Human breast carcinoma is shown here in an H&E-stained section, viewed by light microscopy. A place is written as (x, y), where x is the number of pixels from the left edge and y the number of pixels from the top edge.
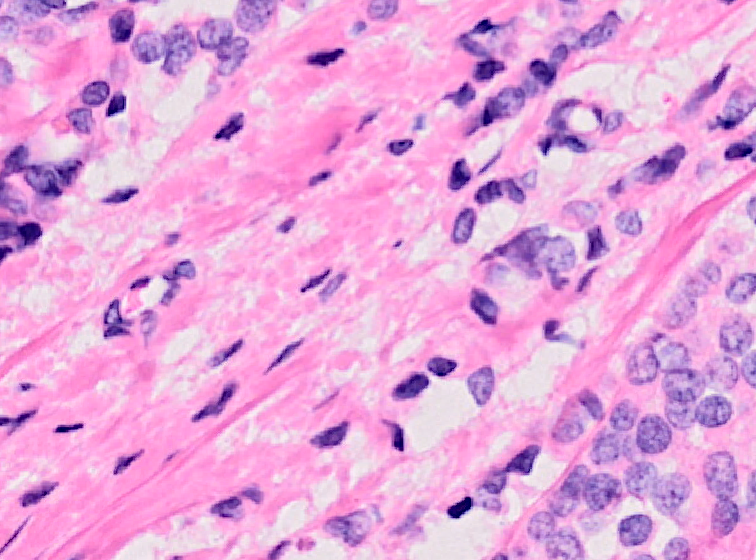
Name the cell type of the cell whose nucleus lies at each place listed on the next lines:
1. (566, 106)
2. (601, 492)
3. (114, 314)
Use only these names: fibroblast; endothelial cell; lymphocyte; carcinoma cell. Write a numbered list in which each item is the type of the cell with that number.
1. endothelial cell
2. carcinoma cell
3. endothelial cell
